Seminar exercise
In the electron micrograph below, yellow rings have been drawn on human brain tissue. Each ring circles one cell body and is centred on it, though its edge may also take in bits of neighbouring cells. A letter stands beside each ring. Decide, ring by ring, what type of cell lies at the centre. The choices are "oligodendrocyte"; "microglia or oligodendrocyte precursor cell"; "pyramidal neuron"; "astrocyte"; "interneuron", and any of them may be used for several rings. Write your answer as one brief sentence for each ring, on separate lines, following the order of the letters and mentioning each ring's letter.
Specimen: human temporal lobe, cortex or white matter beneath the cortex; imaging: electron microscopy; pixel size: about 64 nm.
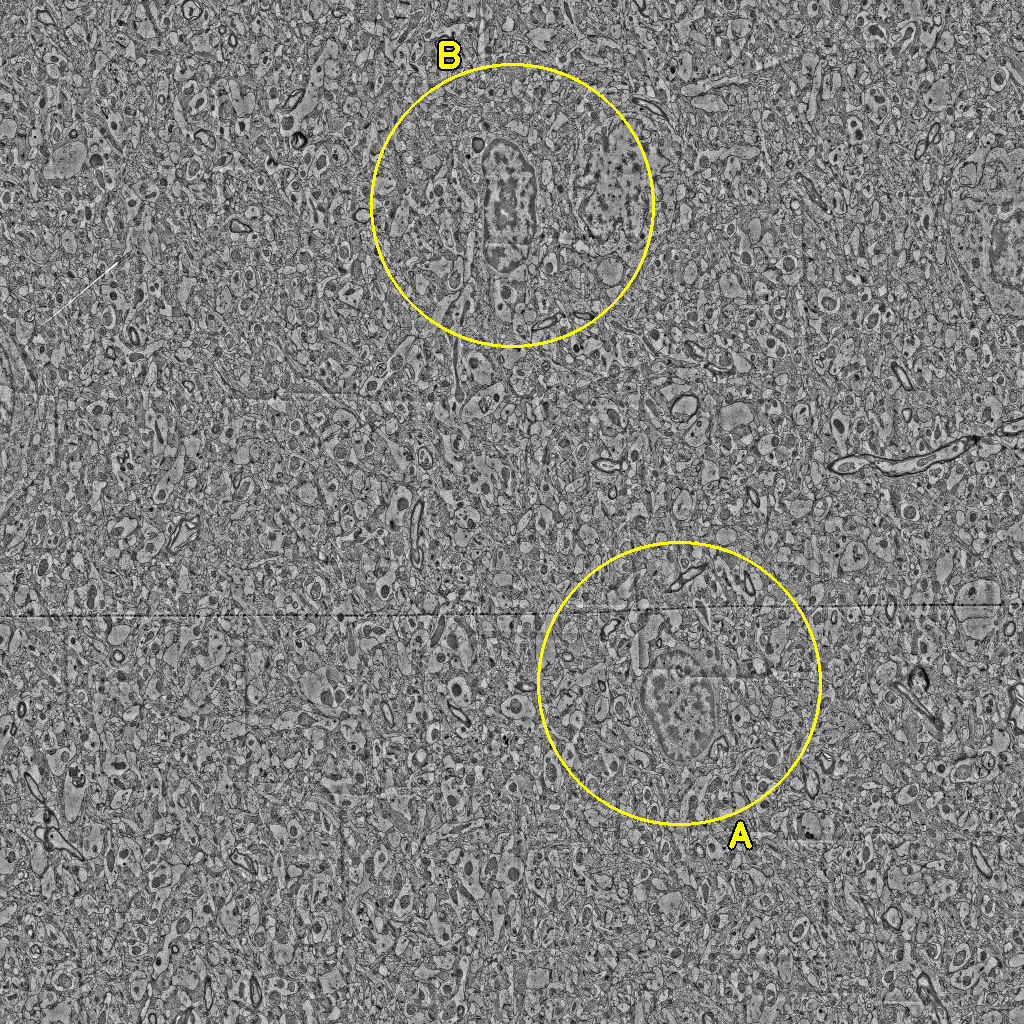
The cell in the middle of ring A is an oligodendrocyte.
The cell in the middle of ring B is a microglial cell or oligodendrocyte precursor cell.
